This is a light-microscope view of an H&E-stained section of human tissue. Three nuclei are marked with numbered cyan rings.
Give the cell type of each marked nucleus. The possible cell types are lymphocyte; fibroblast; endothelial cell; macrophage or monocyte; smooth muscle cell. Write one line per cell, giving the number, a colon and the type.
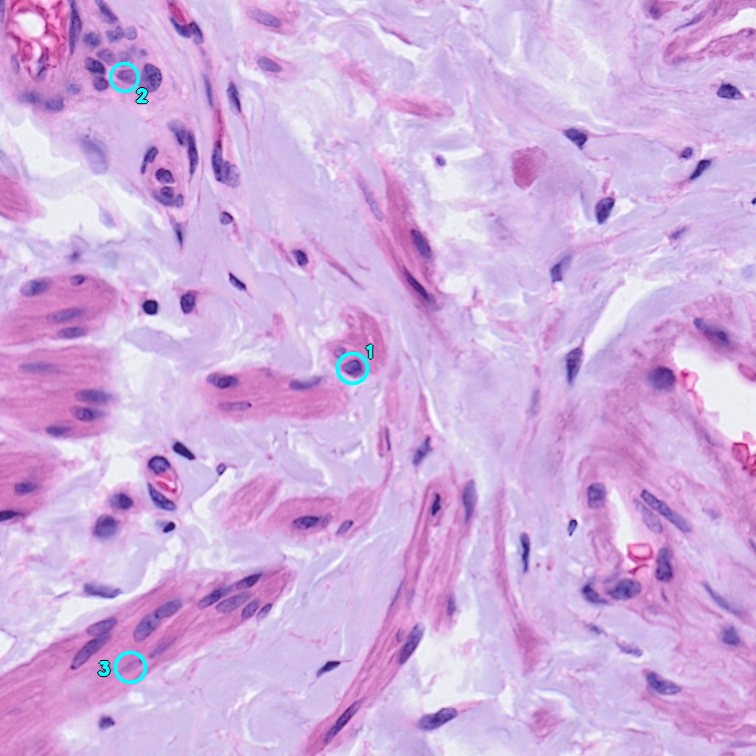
1: smooth muscle cell
2: endothelial cell
3: smooth muscle cell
